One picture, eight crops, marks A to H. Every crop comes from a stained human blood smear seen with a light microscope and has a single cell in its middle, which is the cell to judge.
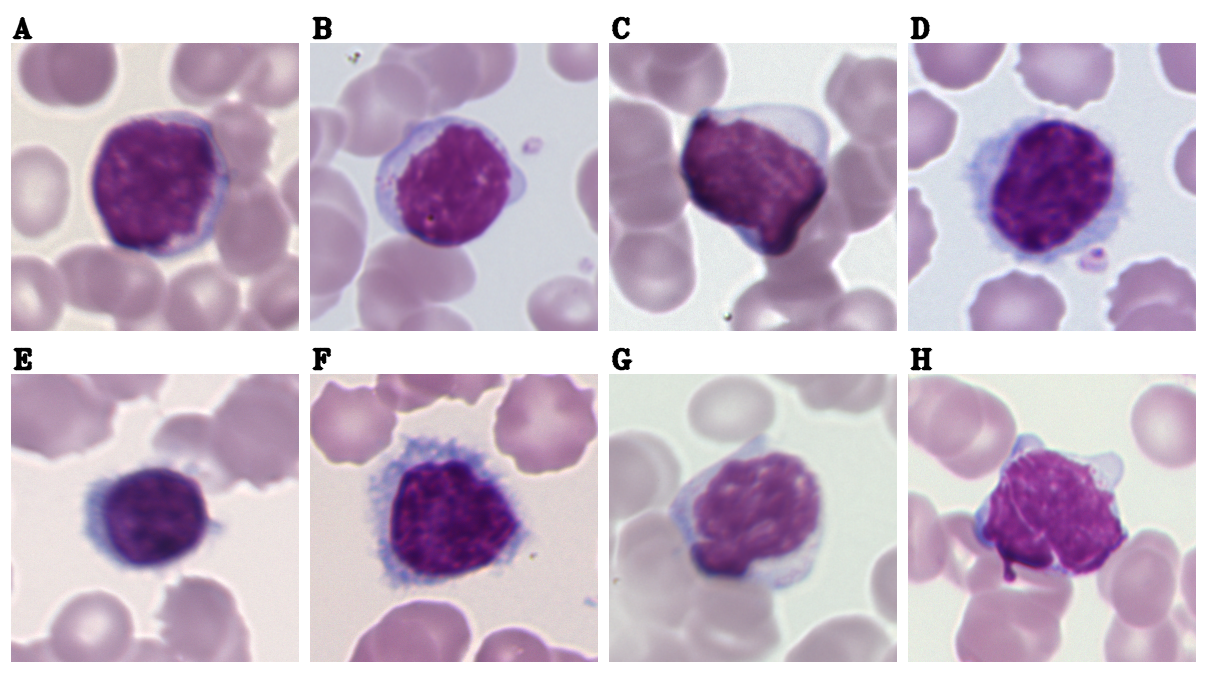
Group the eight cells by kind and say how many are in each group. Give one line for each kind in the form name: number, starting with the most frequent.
large granular lymphocyte: 5
hairy cell: 3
